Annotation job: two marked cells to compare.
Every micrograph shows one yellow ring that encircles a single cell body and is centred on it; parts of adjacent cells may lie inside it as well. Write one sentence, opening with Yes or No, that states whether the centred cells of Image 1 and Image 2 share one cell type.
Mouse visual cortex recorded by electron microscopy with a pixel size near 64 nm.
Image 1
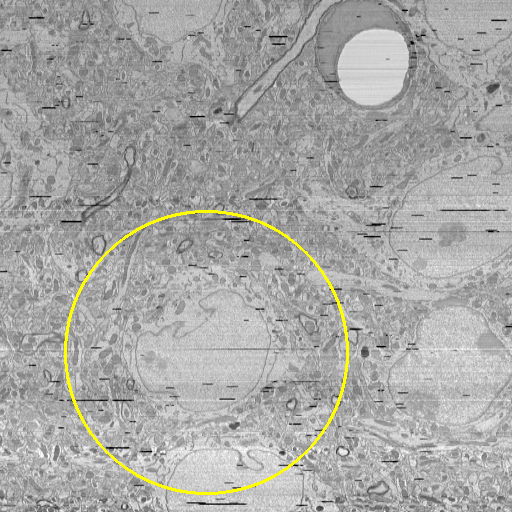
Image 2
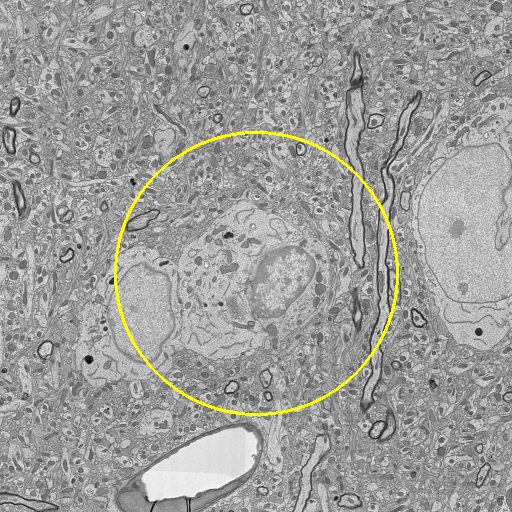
No, the cell centred in Image 1 and the cell centred in Image 2 are of two types.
